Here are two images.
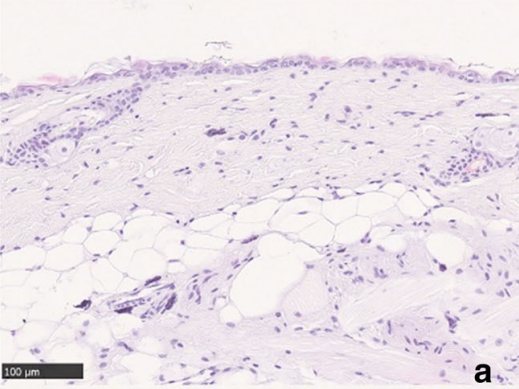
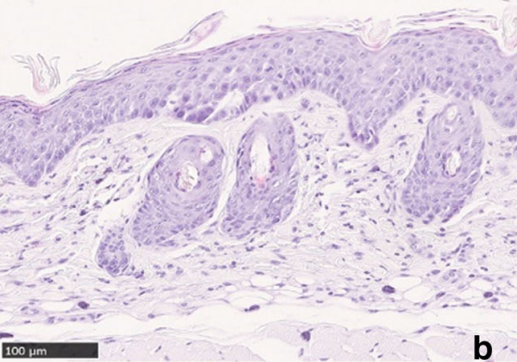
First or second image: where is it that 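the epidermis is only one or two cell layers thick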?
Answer: The first image.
